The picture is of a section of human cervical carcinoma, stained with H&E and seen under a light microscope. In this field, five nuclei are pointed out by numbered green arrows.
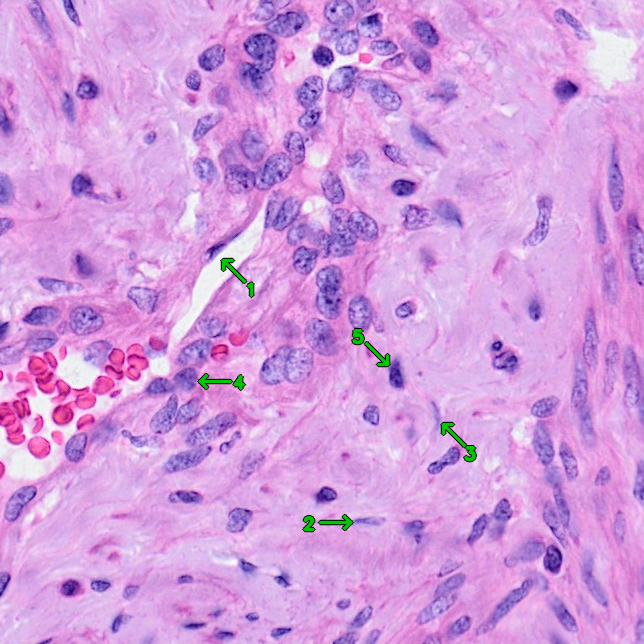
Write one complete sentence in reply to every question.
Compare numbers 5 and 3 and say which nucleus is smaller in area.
The smaller nucleus is 3, and 5 covers roughly 2 times its area.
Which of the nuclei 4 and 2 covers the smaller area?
It is nucleus 2; nucleus 4 has about 2 times its area.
